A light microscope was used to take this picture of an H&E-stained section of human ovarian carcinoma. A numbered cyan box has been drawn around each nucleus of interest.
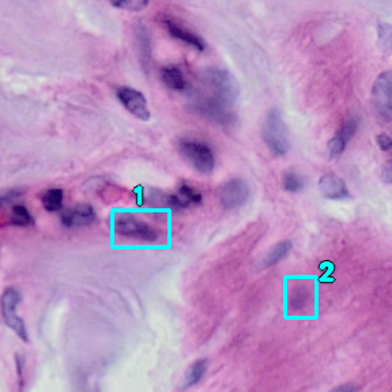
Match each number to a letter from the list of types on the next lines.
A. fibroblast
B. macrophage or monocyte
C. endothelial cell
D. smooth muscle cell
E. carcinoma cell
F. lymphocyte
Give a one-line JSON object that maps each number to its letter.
{"1": "C", "2": "D"}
